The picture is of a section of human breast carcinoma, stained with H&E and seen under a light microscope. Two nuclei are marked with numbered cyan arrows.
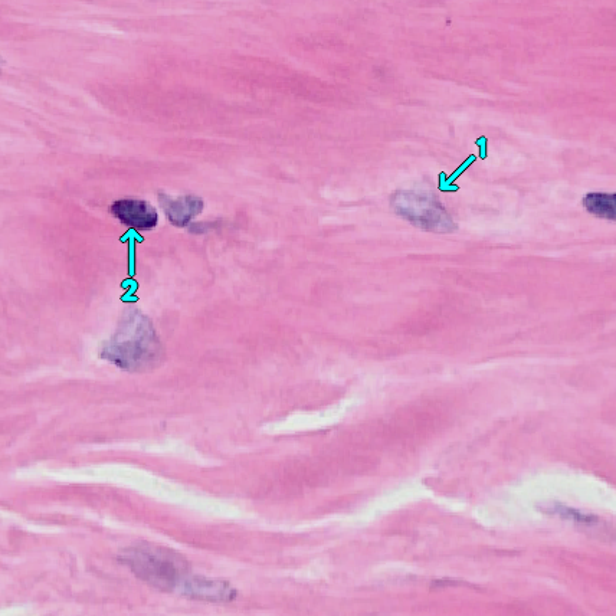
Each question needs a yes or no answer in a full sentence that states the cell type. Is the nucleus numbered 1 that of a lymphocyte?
No, the cell given number 1 is a fibroblast, as opposed to a lymphocyte.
